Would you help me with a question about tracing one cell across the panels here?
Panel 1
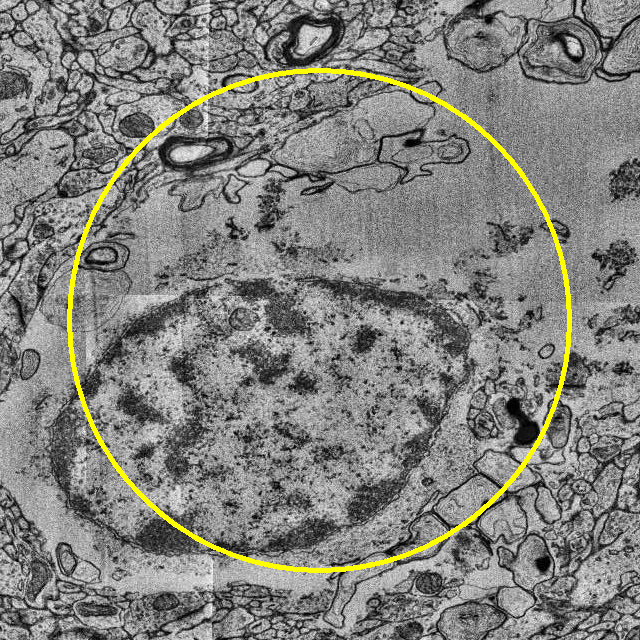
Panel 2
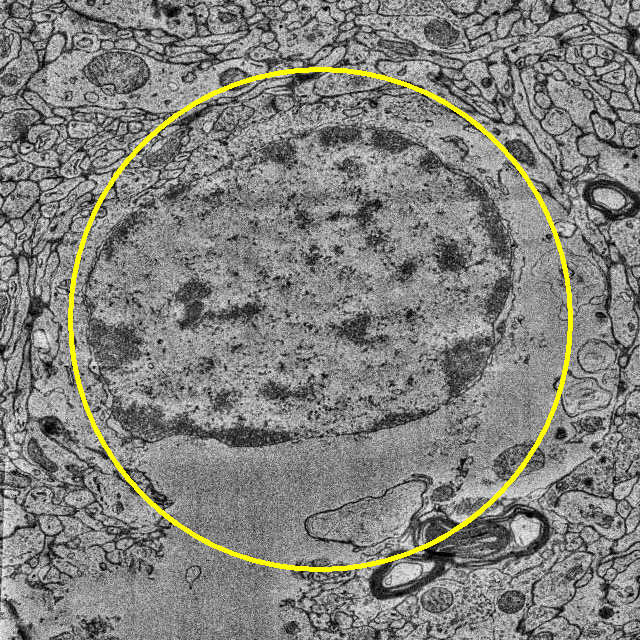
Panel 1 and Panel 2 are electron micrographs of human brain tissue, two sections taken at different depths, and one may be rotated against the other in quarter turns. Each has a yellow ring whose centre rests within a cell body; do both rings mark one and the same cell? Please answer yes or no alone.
yes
